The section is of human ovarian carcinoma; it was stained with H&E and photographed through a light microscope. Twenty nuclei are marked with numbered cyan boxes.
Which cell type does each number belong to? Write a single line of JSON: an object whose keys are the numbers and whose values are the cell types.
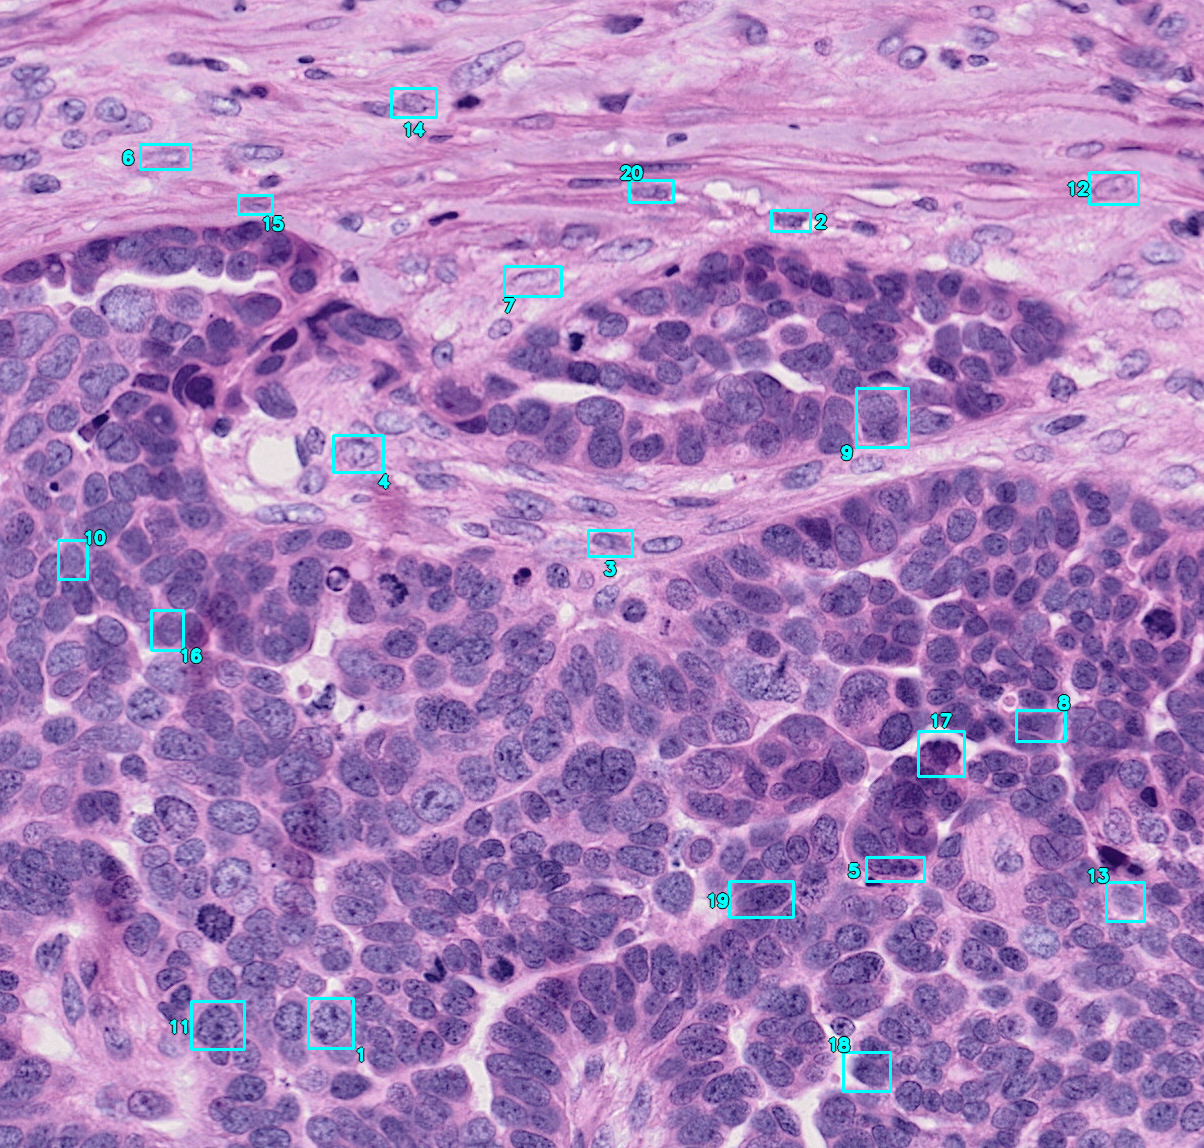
{"1": "carcinoma cell", "2": "fibroblast", "3": "fibroblast", "4": "fibroblast", "5": "carcinoma cell", "6": "fibroblast", "7": "fibroblast", "8": "carcinoma cell", "9": "carcinoma cell", "10": "carcinoma cell", "11": "carcinoma cell", "12": "fibroblast", "13": "carcinoma cell", "14": "fibroblast", "15": "fibroblast", "16": "carcinoma cell", "17": "carcinoma cell", "18": "carcinoma cell", "19": "carcinoma cell", "20": "fibroblast"}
